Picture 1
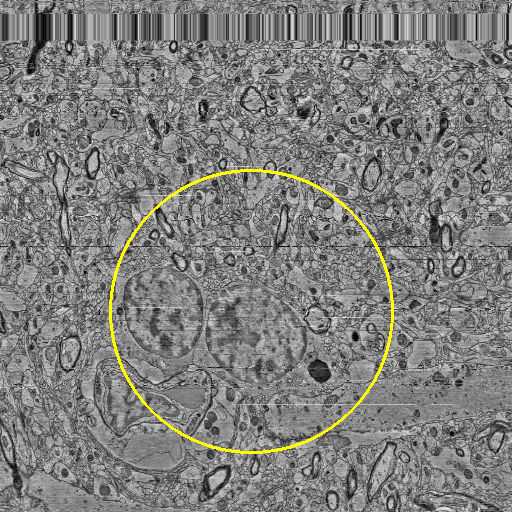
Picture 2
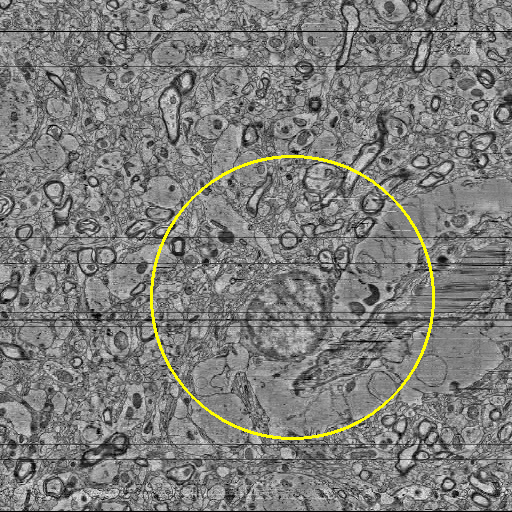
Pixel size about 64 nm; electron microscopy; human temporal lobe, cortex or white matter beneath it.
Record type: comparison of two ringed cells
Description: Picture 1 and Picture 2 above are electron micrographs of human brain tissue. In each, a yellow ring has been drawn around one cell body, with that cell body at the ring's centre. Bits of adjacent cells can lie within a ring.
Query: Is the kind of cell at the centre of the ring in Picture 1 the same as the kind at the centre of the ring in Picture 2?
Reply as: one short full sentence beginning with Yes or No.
Yes, the two ringed cells are of the same kind.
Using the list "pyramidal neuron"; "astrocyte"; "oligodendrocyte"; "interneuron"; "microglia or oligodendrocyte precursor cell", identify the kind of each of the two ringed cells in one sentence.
Both cells are the same kind, each one being an oligodendrocyte.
